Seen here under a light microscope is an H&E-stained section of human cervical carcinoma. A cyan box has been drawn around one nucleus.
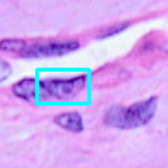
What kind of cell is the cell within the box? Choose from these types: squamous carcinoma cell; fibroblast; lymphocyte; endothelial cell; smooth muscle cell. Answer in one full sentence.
In this tissue sample, the cell within the box is an endothelial cell.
